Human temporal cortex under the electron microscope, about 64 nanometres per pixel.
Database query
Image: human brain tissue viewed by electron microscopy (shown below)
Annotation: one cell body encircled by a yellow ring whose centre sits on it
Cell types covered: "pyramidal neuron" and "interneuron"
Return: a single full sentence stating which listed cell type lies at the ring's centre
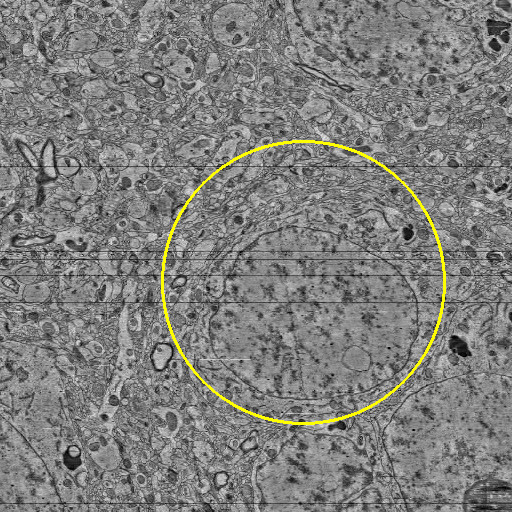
In the image, the cell lying at the ring's centre is a pyramidal neuron.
